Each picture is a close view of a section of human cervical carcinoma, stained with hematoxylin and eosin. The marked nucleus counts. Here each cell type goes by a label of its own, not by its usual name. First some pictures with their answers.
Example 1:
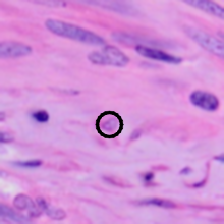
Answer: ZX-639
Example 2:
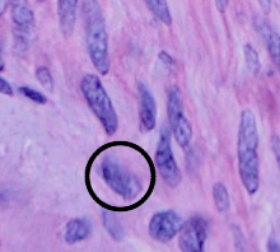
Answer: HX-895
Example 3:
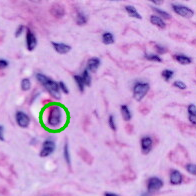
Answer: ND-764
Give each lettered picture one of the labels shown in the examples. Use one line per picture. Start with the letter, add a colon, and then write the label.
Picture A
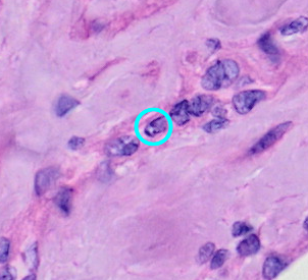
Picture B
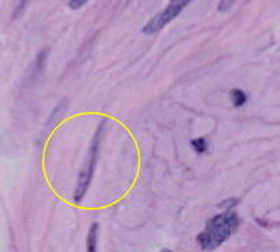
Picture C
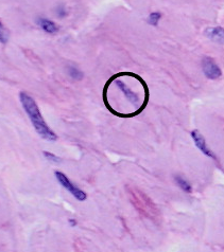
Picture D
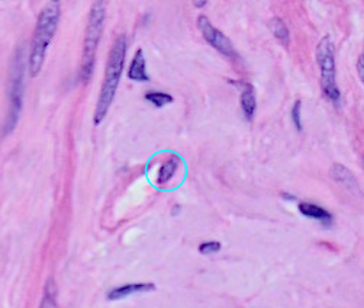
A: ND-764
B: HX-895
C: HX-895
D: ND-764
